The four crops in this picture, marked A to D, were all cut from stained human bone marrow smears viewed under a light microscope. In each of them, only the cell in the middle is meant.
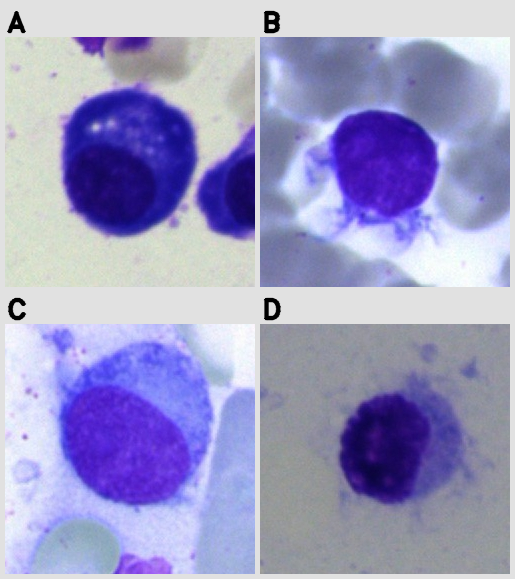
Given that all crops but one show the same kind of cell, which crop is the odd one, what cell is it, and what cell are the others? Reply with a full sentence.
Crop A is the exception in this set, showing a plasma cell while the others show hairy cells.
